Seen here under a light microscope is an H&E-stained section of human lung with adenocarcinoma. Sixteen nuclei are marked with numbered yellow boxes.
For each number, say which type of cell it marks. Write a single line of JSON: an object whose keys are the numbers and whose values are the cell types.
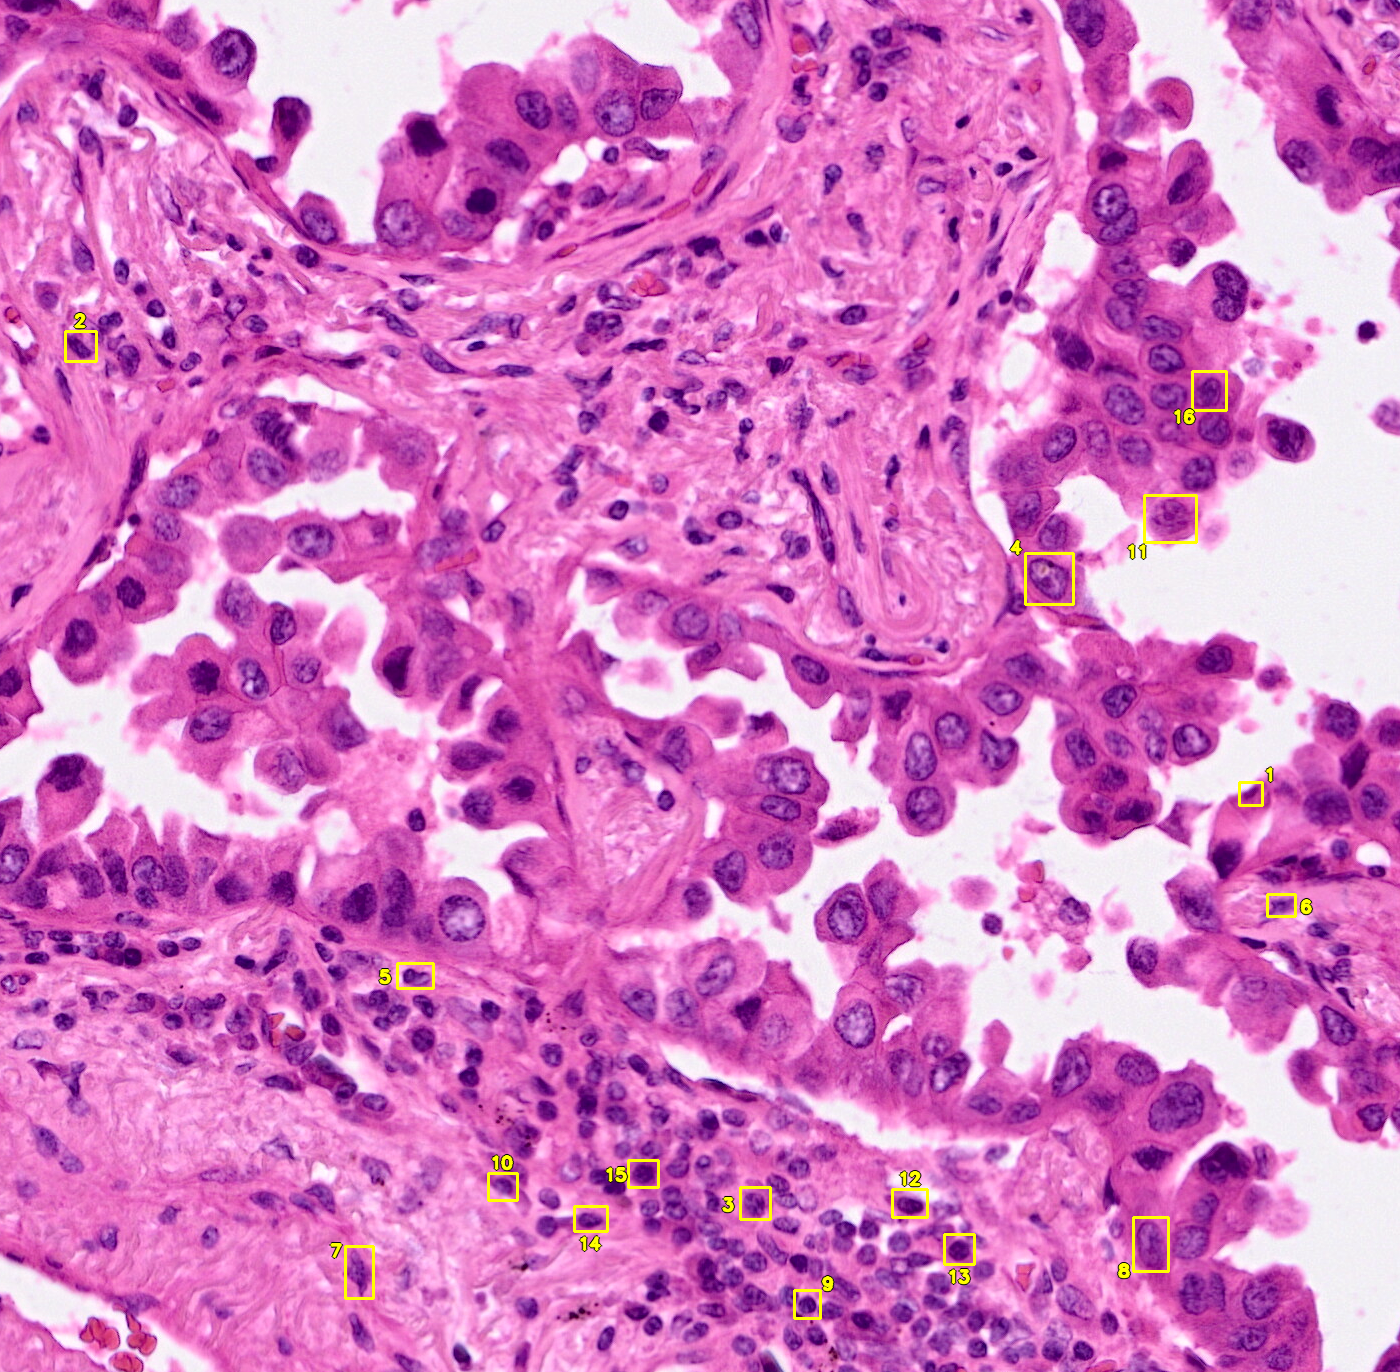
{"1": "carcinoma cell", "2": "plasma cell", "3": "plasma cell", "4": "carcinoma cell", "5": "lymphocyte", "6": "fibroblast", "7": "smooth muscle cell or pericyte", "8": "carcinoma cell", "9": "lymphocyte", "10": "plasma cell", "11": "carcinoma cell", "12": "plasma cell", "13": "plasma cell", "14": "plasma cell", "15": "plasma cell", "16": "carcinoma cell"}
